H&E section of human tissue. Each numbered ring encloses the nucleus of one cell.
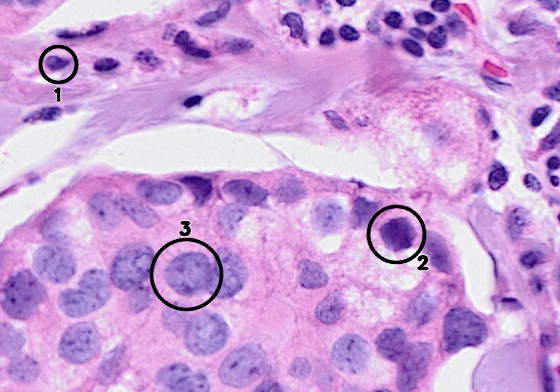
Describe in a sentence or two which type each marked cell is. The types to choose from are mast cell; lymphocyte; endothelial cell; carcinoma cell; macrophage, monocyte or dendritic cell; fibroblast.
Cell 1 is a lymphocyte. Cells 2 and 3 are carcinoma cells.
